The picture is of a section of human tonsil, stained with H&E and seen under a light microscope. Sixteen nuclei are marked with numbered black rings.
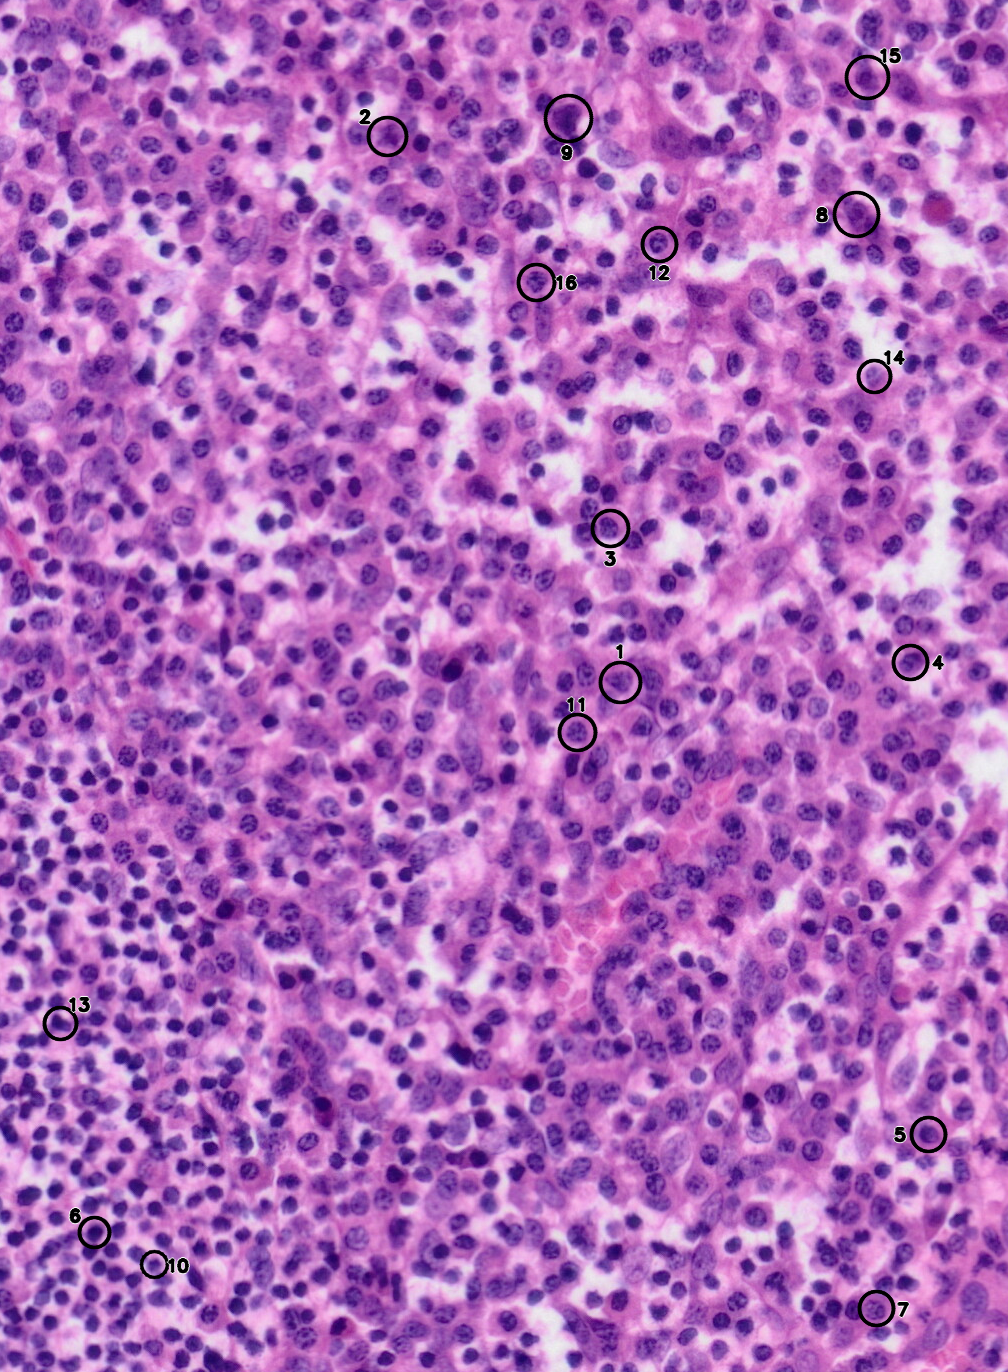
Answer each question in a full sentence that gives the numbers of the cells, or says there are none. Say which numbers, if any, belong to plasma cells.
The cells that bear the numbers 1, 3, 4, 5, 7, 11, 12, 14 and 16 are plasma cells.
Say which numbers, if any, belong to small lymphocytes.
Identification: the cells with numbers 6, 10 and 13 are small lymphocytes.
